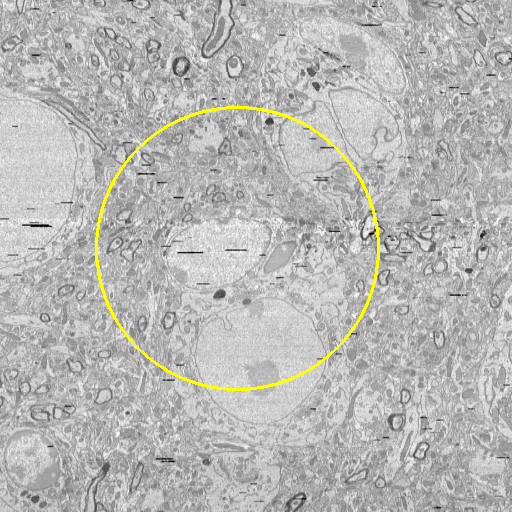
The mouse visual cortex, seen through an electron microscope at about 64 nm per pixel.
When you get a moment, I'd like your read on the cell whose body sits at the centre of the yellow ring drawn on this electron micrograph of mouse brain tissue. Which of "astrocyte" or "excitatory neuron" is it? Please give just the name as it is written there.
astrocyte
